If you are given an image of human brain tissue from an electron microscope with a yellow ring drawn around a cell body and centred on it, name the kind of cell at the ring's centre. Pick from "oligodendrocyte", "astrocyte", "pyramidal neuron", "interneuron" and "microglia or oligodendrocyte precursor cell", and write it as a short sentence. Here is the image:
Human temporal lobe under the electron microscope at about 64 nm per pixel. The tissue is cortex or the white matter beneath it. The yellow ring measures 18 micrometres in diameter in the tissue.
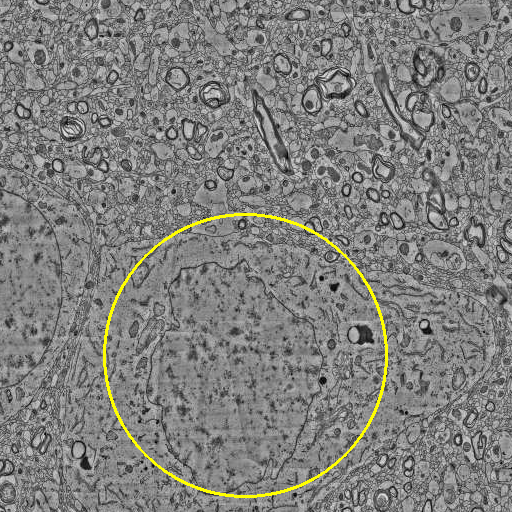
The cell at the ring's centre is a pyramidal neuron.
